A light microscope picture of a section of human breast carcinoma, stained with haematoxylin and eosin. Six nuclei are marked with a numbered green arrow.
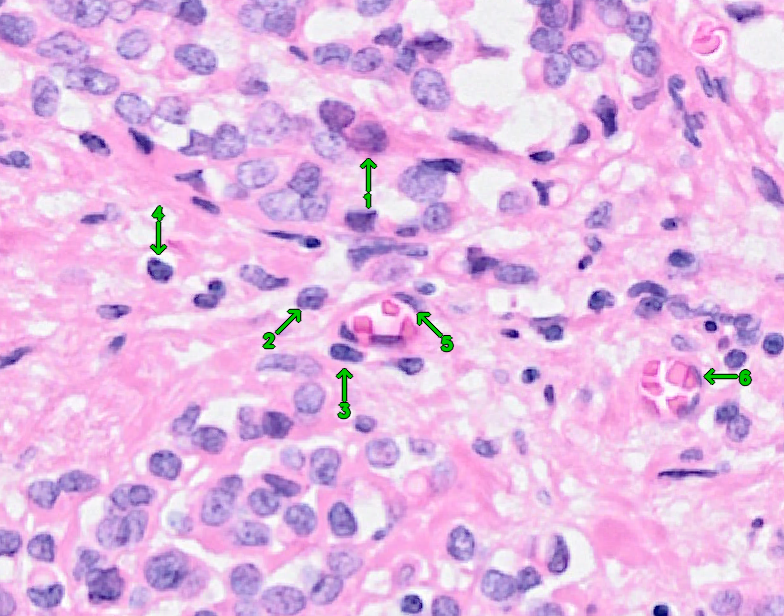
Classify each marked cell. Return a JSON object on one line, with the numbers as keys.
{"1": "carcinoma cell", "2": "lymphocyte", "3": "lymphocyte", "4": "lymphocyte", "5": "endothelial cell", "6": "endothelial cell"}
